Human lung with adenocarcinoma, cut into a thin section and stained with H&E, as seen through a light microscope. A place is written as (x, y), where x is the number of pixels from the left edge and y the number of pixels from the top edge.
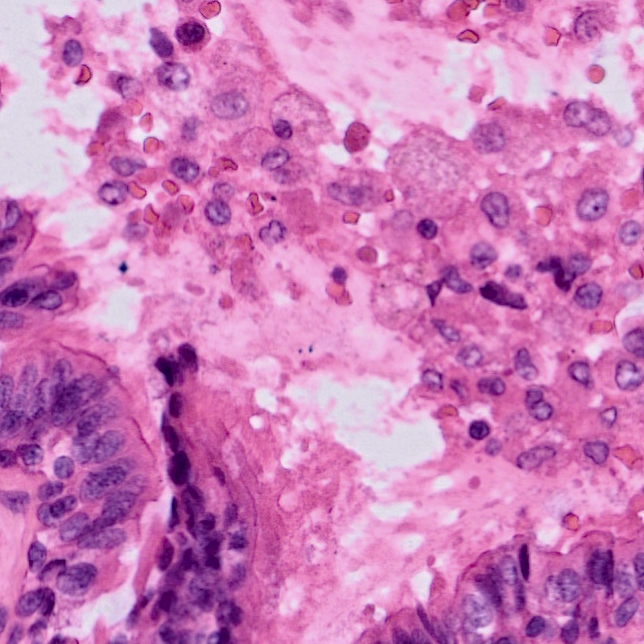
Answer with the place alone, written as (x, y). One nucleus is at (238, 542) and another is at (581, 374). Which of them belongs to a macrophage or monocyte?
(581, 374)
